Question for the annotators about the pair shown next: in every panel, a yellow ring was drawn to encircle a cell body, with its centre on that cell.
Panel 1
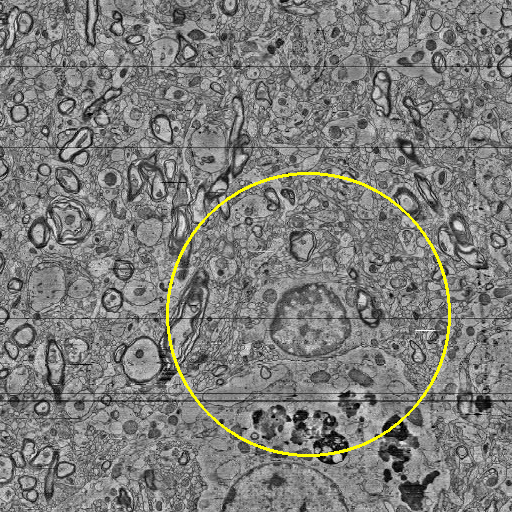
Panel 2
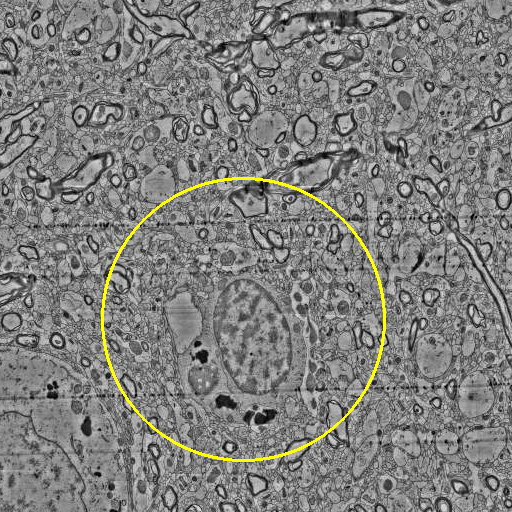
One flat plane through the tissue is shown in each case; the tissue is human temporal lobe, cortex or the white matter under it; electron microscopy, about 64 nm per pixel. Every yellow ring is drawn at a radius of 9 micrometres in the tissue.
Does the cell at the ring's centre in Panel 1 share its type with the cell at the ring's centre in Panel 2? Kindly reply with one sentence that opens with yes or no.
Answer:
Yes, in Panels 1 and 2 the cells at the ring centres belong to a single type.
